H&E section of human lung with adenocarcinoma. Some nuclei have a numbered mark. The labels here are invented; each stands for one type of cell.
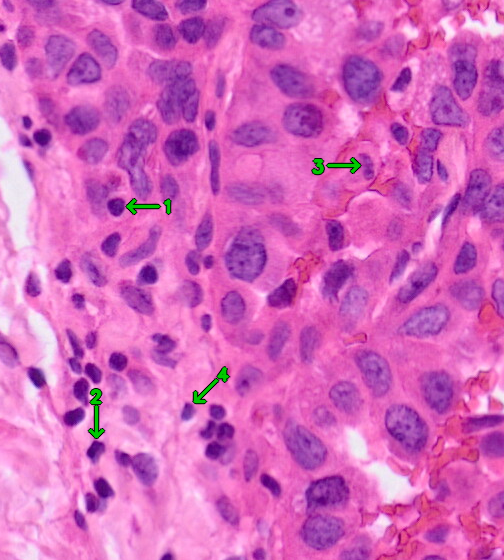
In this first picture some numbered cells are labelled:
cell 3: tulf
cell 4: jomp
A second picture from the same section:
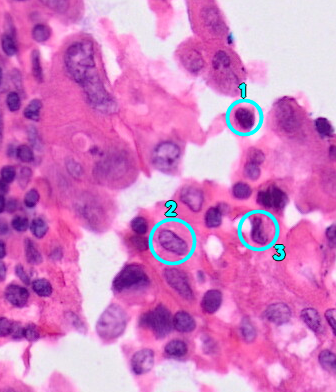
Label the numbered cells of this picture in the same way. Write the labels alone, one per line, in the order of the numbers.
jomp
tulf
tulf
